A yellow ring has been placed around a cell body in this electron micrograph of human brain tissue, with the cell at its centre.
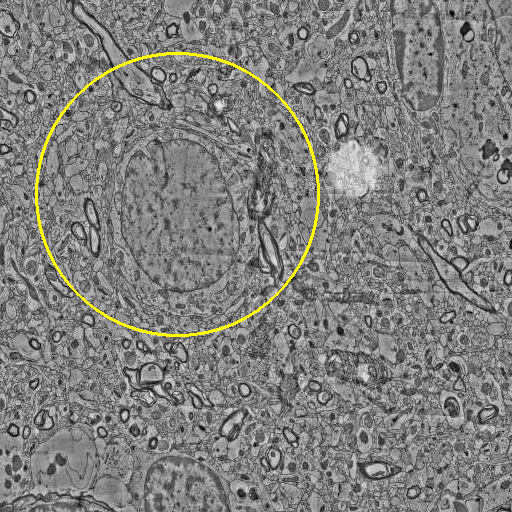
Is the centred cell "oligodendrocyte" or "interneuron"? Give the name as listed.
interneuron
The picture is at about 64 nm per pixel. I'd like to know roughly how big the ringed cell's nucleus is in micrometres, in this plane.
In this plane, about 10 micrometres in length and 8 in width.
